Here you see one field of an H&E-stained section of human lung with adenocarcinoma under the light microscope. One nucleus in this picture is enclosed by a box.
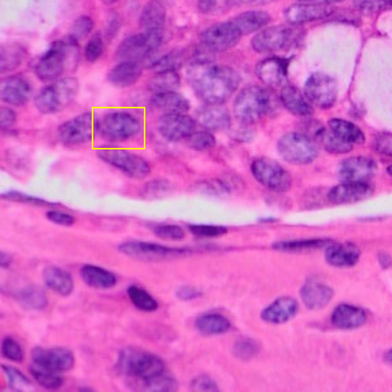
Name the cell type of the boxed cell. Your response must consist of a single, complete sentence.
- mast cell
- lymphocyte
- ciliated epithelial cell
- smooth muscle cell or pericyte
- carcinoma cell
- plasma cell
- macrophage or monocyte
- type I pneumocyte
In terms of identity, the boxed cell is a ciliated epithelial cell.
